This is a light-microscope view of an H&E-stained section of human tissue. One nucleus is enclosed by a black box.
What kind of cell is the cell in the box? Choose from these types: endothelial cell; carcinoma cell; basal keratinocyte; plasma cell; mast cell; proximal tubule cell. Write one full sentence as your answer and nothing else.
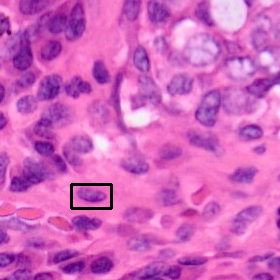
Considered by cell type, the cell in the box is a mast cell.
